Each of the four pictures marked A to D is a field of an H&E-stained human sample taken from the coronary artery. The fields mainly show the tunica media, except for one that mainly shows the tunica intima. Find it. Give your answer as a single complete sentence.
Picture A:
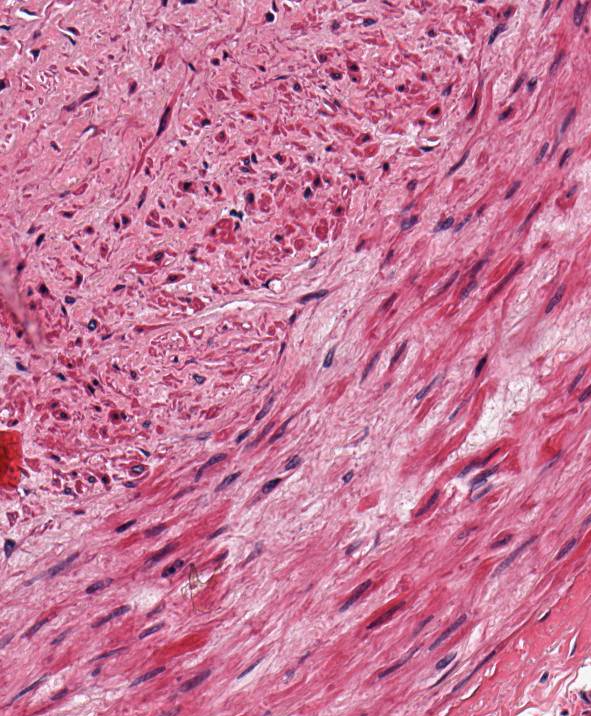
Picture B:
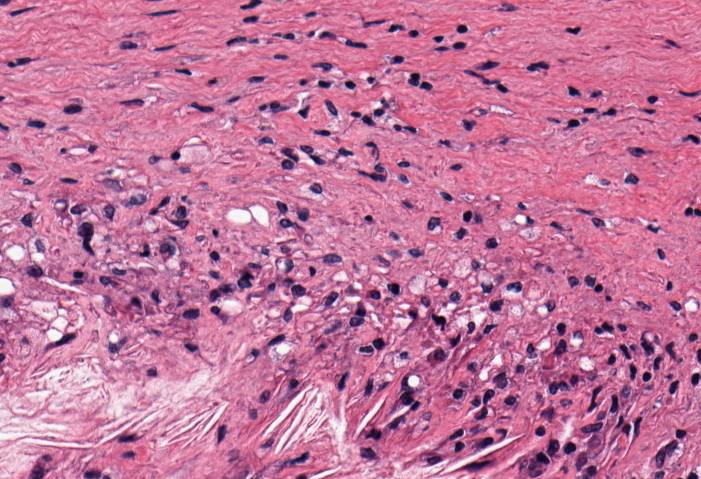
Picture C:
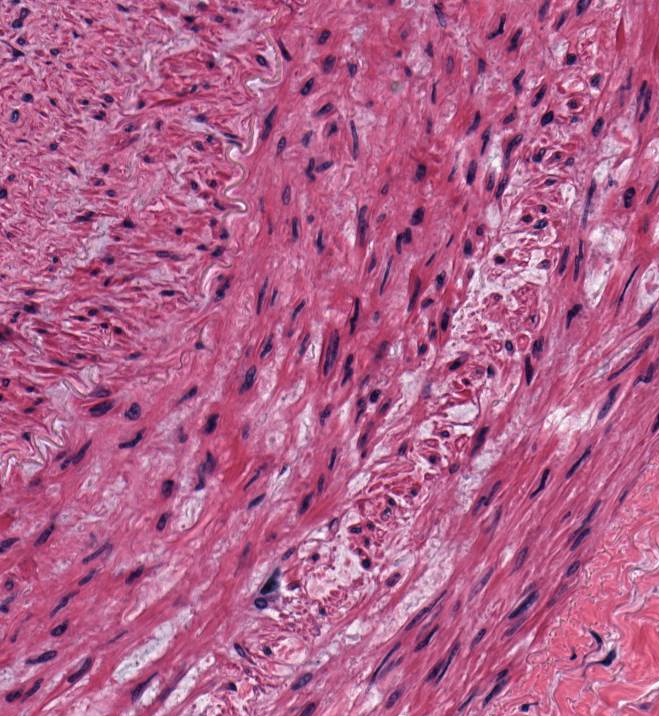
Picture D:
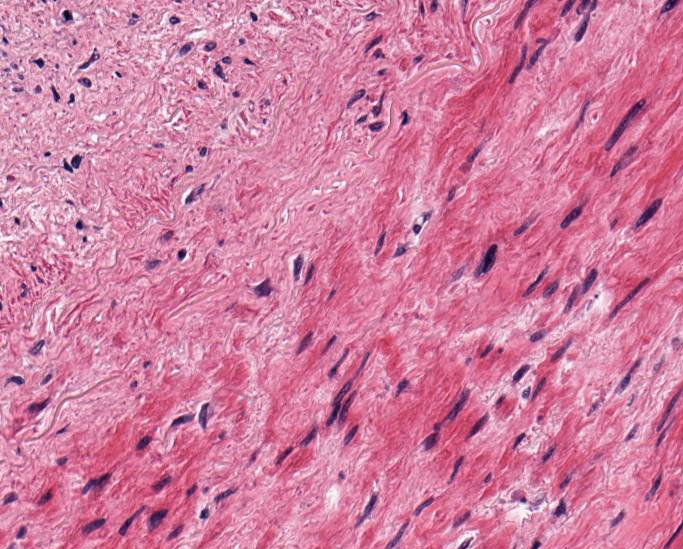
Picture B mainly shows the tunica intima.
